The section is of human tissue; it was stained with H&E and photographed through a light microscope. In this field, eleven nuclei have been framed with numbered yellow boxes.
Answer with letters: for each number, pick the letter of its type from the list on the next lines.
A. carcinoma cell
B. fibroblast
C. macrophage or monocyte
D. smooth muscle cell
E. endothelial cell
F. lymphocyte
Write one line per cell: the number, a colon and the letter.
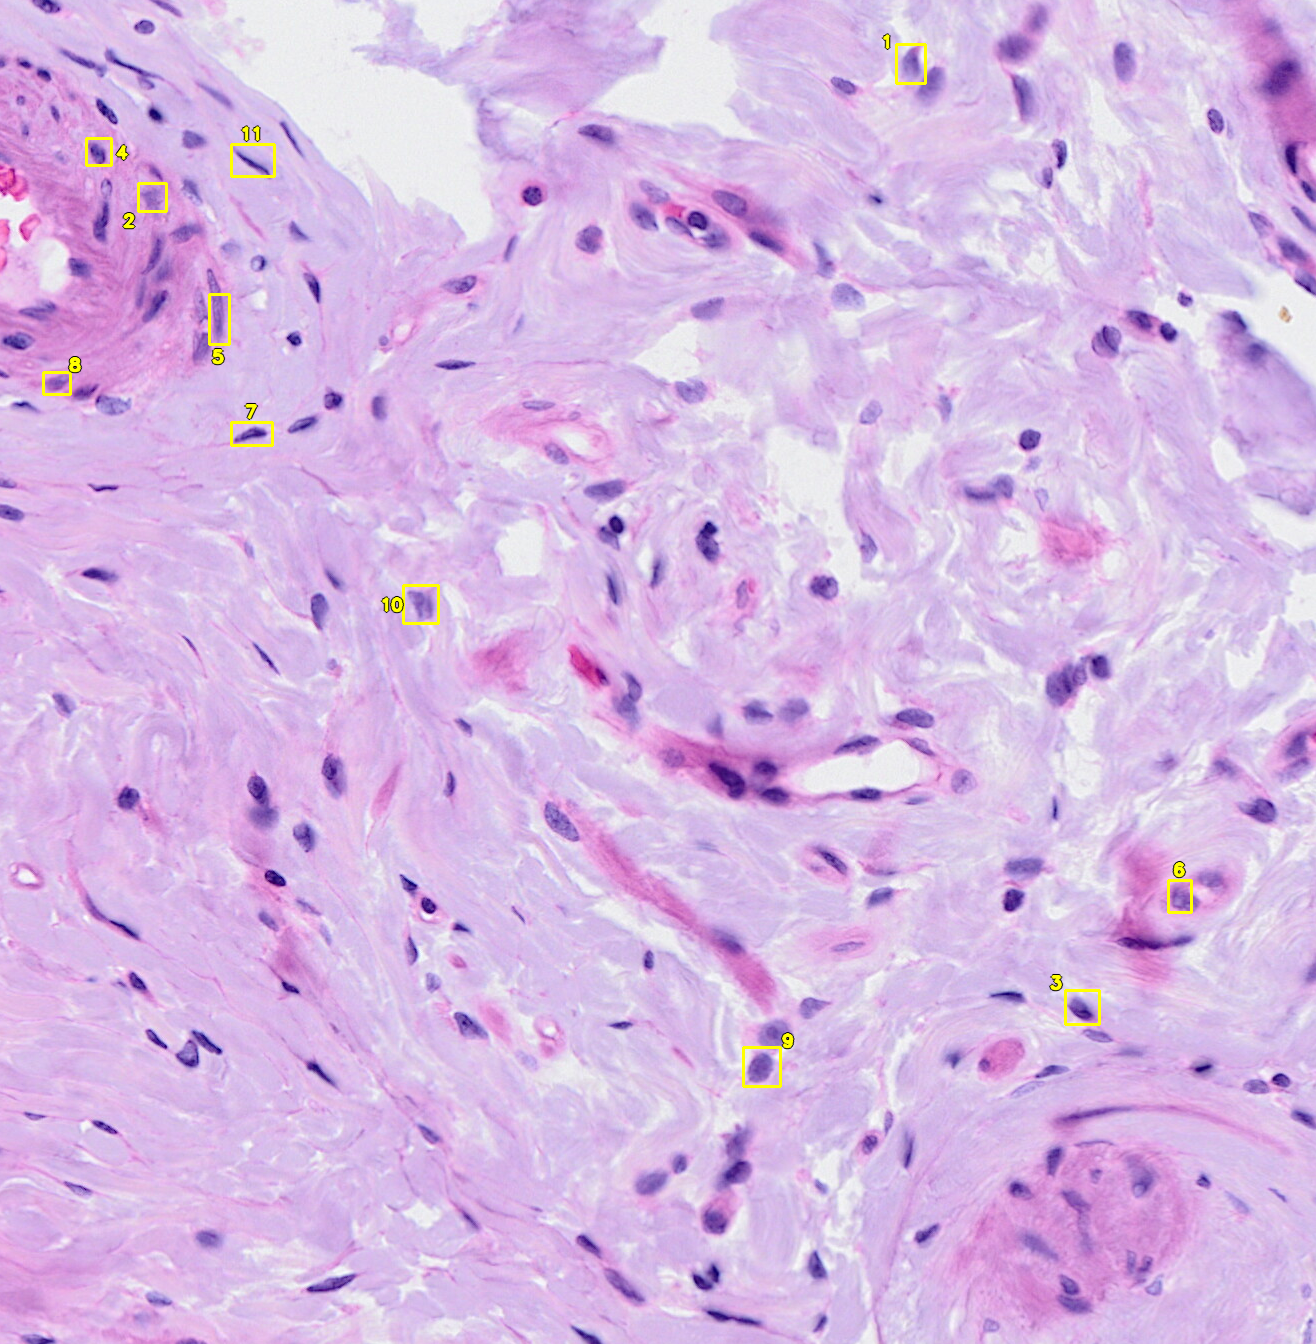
1: B
2: D
3: B
4: D
5: D
6: E
7: B
8: D
9: B
10: B
11: B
